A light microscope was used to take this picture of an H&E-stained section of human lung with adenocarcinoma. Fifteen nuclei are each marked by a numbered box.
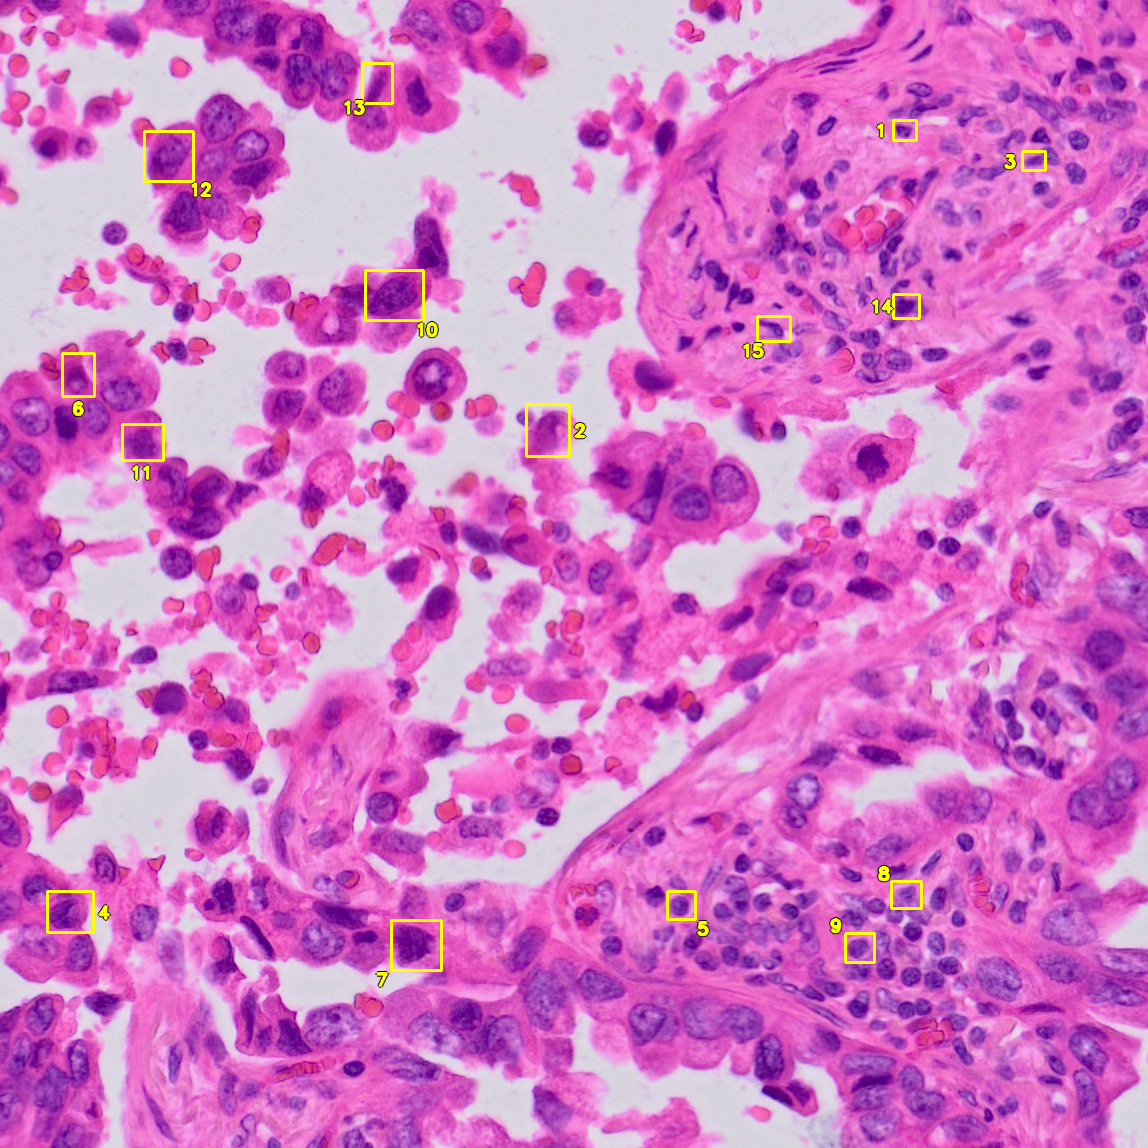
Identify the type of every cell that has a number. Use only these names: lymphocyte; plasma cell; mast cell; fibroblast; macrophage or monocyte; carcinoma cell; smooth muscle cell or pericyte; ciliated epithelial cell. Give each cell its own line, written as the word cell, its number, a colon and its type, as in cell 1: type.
cell 1: lymphocyte
cell 2: carcinoma cell
cell 3: lymphocyte
cell 4: carcinoma cell
cell 5: lymphocyte
cell 6: carcinoma cell
cell 7: carcinoma cell
cell 8: lymphocyte
cell 9: lymphocyte
cell 10: carcinoma cell
cell 11: carcinoma cell
cell 12: carcinoma cell
cell 13: carcinoma cell
cell 14: lymphocyte
cell 15: lymphocyte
